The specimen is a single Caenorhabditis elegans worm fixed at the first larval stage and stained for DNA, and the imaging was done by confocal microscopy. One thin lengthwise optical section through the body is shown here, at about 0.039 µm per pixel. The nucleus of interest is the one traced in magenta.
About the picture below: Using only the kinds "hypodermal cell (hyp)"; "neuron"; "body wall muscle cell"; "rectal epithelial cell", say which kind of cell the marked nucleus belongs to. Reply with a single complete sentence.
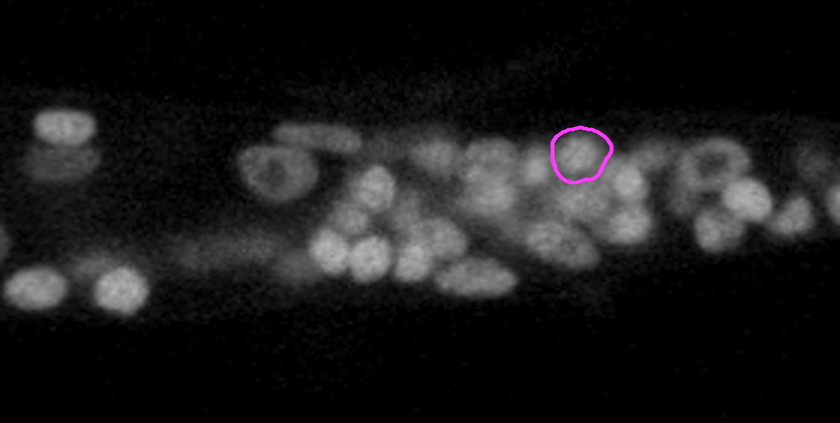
The marked nucleus is that of a neuron.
